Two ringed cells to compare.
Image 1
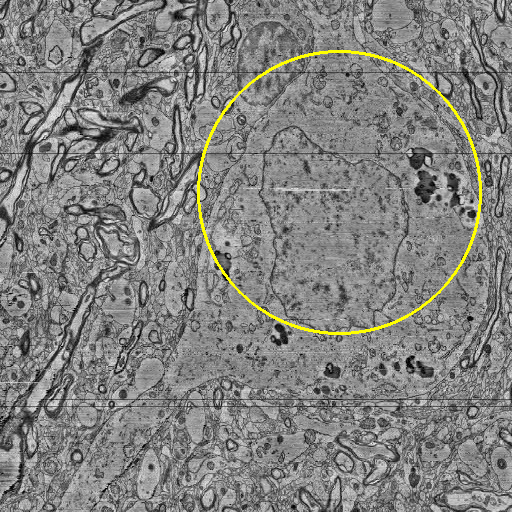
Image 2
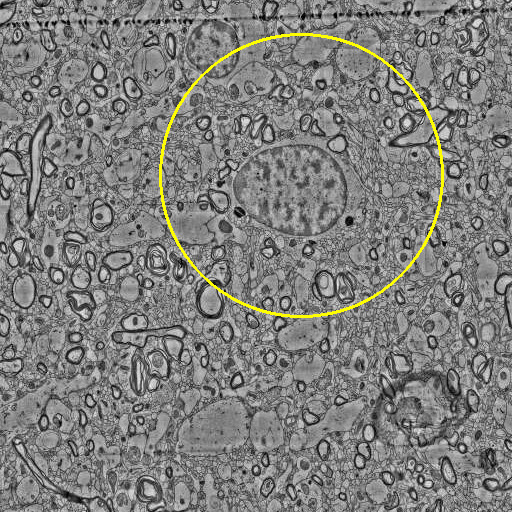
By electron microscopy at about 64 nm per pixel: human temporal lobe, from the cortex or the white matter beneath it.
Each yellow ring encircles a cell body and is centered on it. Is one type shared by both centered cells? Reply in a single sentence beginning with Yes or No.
No, two types are found among the cells at the centers of the rings.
